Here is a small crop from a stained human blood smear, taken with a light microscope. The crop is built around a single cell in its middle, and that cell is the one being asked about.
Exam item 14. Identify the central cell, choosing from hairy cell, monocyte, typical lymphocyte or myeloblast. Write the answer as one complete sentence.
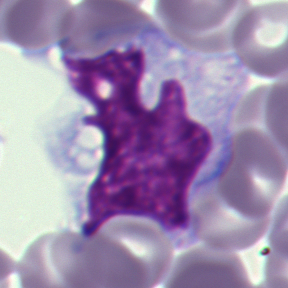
The central element of this crop is a cell, namely a monocyte.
